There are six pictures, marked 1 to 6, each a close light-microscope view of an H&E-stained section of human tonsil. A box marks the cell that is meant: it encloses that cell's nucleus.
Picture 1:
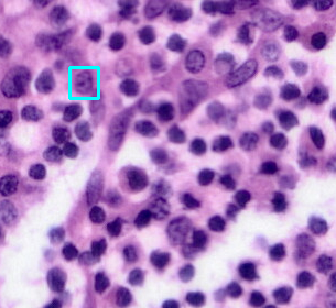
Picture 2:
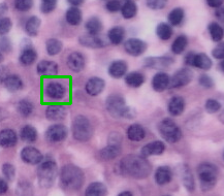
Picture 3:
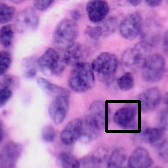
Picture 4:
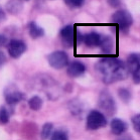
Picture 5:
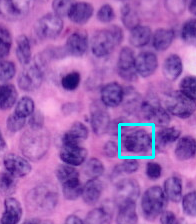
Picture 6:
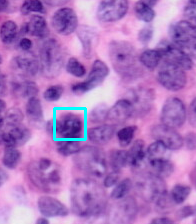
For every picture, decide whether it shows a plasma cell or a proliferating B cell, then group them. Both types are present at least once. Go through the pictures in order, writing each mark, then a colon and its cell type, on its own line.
1: plasma cell
2: plasma cell
3: proliferating B cell
4: proliferating B cell
5: proliferating B cell
6: proliferating B cell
